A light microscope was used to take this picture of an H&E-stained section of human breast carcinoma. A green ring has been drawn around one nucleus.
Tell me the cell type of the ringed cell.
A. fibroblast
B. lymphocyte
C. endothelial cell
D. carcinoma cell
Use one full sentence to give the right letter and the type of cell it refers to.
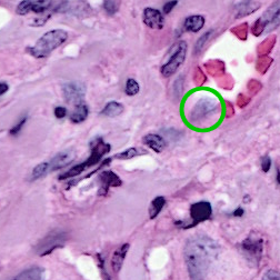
The accurate option is C, with the ringed cell being an endothelial cell.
